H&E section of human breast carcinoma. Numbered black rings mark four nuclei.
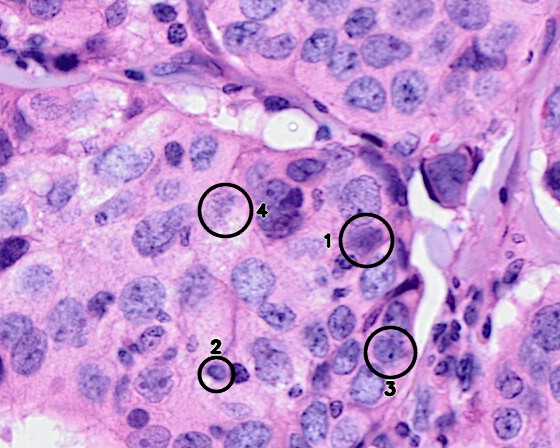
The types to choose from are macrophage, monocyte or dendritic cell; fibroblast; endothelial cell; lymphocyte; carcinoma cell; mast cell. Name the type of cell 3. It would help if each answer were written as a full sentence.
The cell to which the number 3 is assigned is a carcinoma cell.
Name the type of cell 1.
The cell referred to as 1 is a carcinoma cell.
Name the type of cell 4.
The cell whose nucleus carries the number 4 is a carcinoma cell.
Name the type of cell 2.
The cell pointed out as number 2 is a lymphocyte.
